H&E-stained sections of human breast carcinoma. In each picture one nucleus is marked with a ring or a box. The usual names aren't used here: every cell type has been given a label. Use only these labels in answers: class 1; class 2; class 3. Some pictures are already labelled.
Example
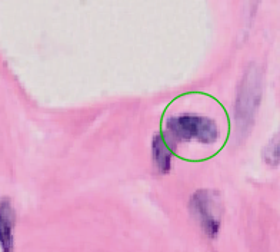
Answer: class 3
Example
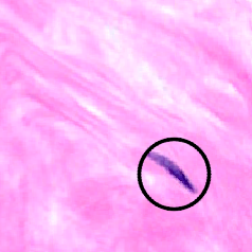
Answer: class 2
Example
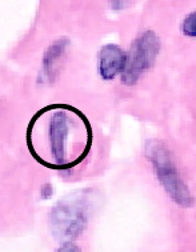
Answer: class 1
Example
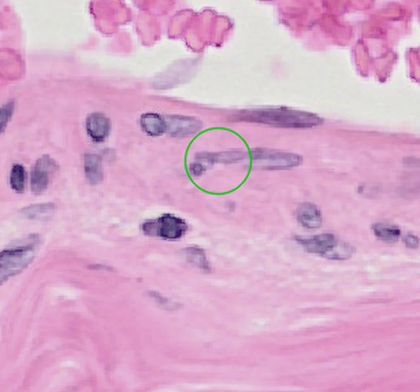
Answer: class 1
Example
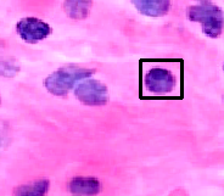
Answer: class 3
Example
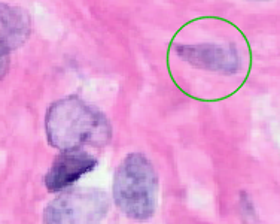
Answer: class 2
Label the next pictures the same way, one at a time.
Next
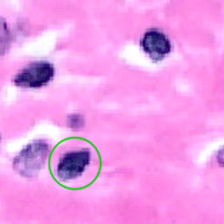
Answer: class 3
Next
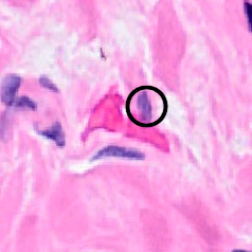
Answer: class 1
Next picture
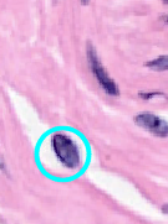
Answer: class 3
